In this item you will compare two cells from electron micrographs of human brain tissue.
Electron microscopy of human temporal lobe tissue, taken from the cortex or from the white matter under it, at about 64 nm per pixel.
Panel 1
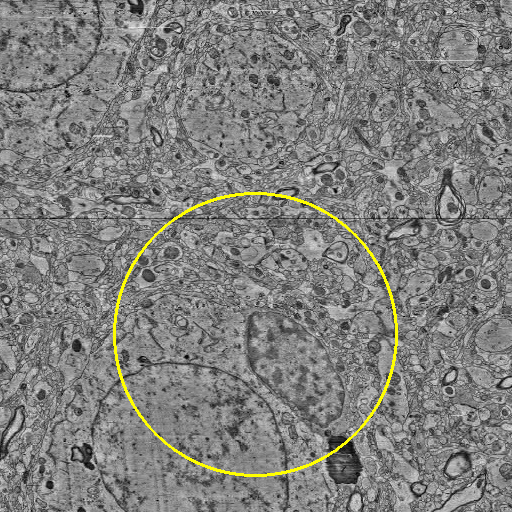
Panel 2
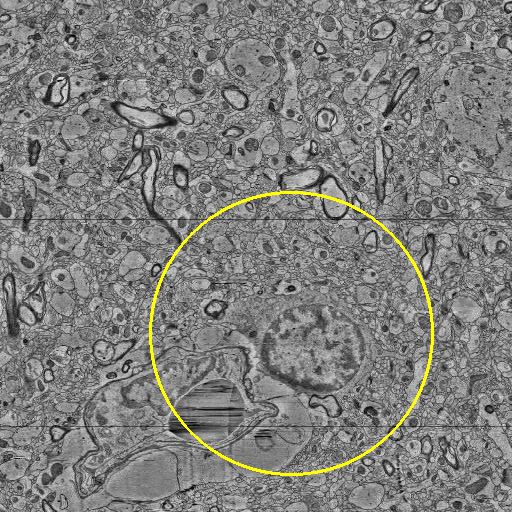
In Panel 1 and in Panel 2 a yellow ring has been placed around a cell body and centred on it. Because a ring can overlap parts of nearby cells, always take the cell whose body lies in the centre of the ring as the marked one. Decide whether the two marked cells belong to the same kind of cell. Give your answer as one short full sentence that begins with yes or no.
Yes, the two marked cells belong to the same kind of cell.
